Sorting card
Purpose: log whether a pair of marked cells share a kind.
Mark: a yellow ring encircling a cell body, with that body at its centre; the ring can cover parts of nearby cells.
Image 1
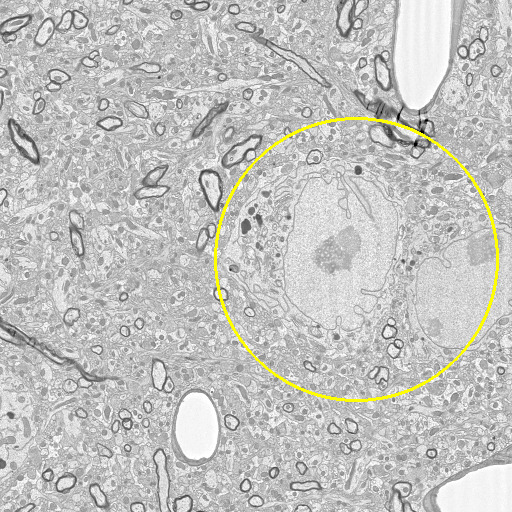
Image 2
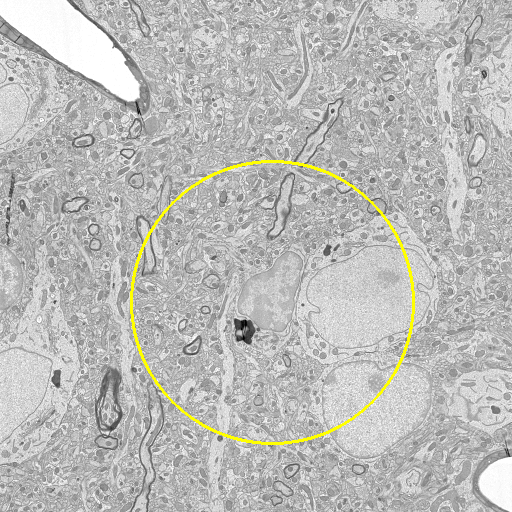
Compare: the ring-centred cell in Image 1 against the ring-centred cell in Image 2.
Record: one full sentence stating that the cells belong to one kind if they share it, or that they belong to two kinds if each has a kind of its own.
Across Images 1 and 2, the two ring-centred cells belong to two kinds.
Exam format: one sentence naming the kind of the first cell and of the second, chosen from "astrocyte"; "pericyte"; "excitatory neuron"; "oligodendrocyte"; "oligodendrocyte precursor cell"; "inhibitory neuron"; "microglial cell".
The first picture's cell is an inhibitory neuron, and the second picture's cell is a microglial cell.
